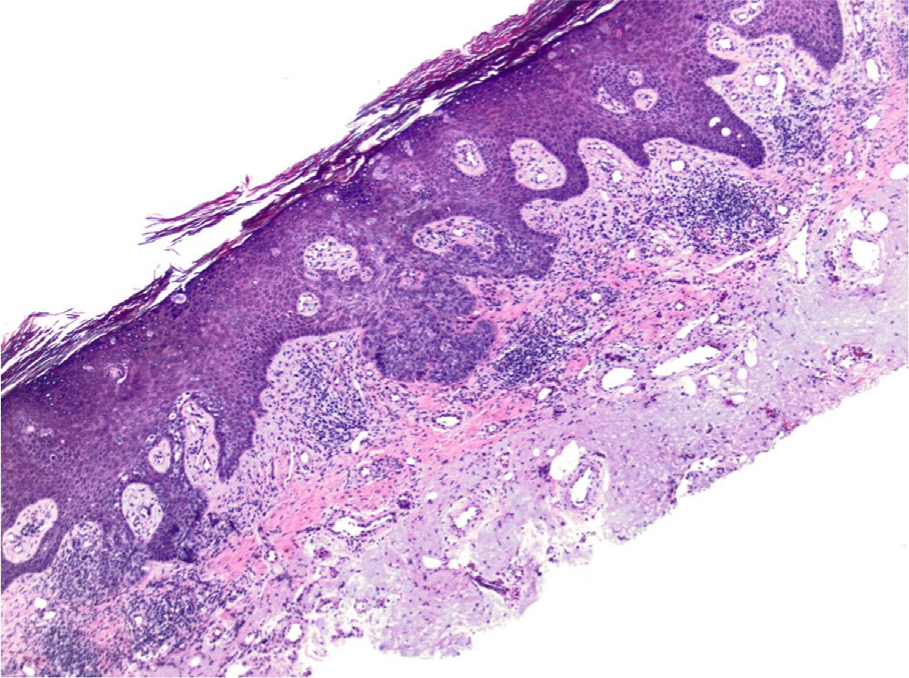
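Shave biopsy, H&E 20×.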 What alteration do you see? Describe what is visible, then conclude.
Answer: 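Hyperplastic epidermis. The epidermis is markedly thickened. Rete ridges are elongated and irregular, extending down into the dermis. A compact layer of cornified material lies on the surface.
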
